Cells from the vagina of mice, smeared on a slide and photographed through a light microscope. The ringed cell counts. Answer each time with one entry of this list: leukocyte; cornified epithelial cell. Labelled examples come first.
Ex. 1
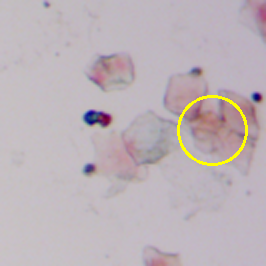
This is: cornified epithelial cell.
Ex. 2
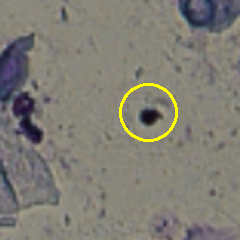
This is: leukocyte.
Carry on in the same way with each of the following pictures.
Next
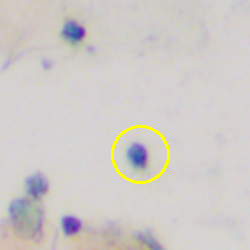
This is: leukocyte.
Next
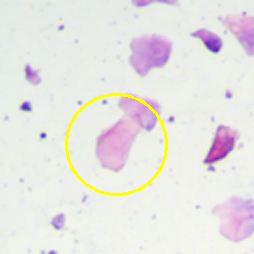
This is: cornified epithelial cell.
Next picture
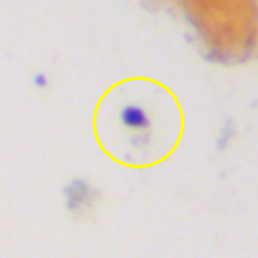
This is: leukocyte.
